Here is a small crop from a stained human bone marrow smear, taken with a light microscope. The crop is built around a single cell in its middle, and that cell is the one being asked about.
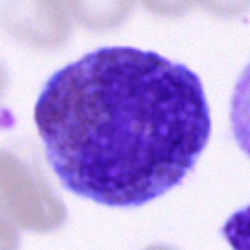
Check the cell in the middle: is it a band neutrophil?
no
